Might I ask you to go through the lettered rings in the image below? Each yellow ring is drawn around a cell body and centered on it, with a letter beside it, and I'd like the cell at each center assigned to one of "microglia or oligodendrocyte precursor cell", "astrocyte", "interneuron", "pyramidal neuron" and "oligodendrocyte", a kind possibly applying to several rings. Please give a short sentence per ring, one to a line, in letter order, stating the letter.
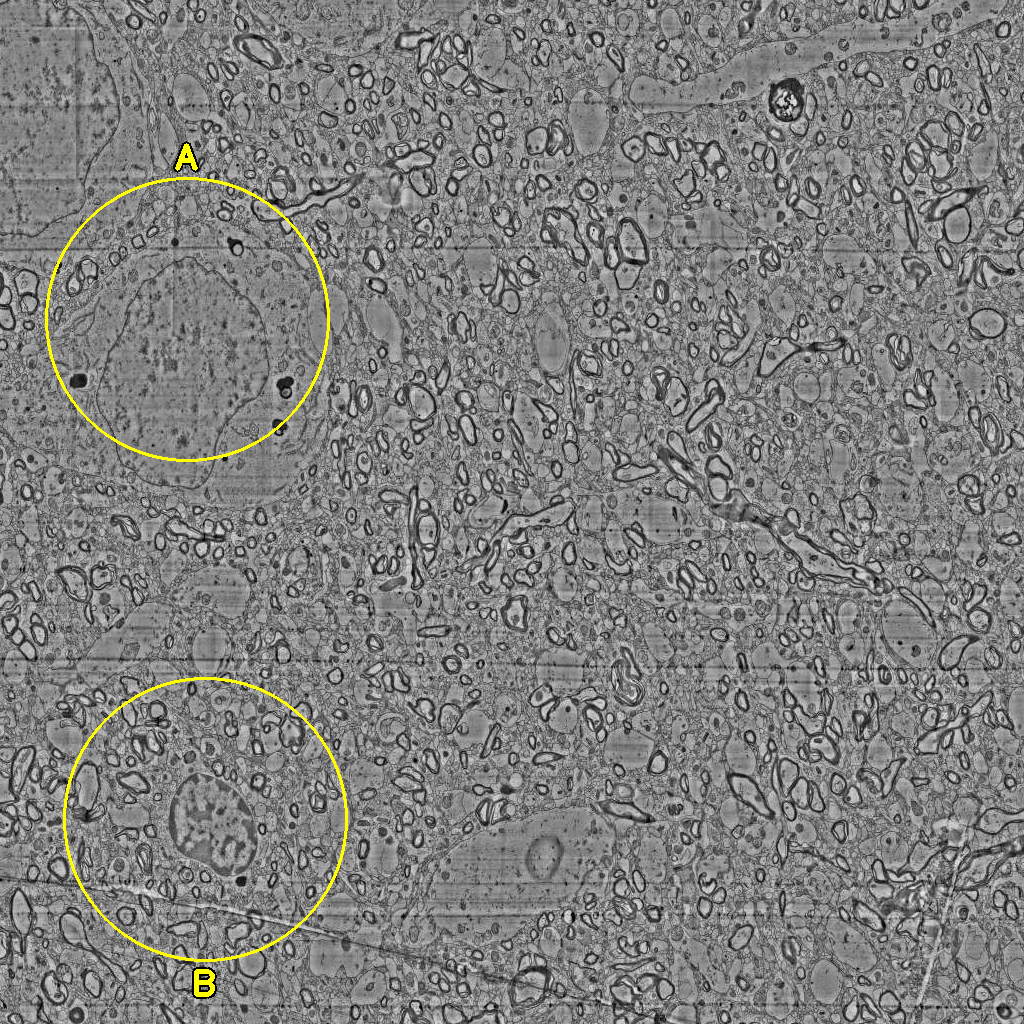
Ring A is centered on the body of a pyramidal neuron.
Ring B is centered on the body of a microglial cell or oligodendrocyte precursor cell.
